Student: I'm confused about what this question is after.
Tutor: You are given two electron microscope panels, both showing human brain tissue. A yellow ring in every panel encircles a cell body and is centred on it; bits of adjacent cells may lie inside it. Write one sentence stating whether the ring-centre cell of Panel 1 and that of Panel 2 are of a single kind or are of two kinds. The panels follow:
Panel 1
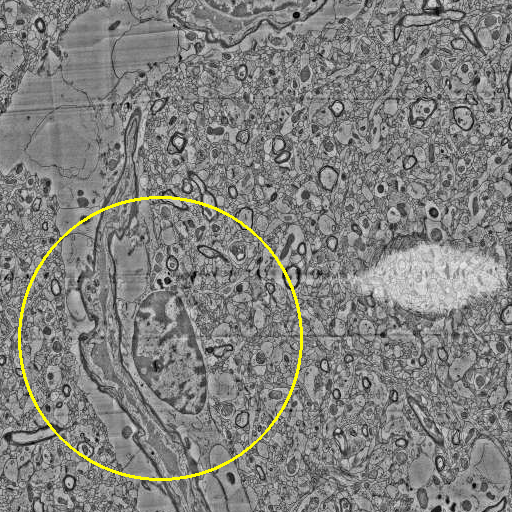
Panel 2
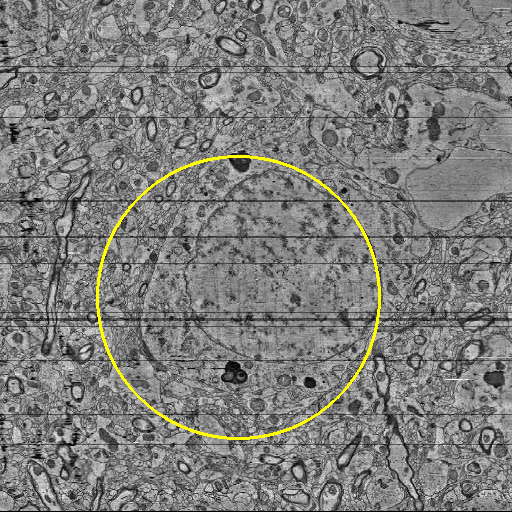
Here, the Panel 1 ring-centre cell and the Panel 2 ring-centre cell are of two kinds.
